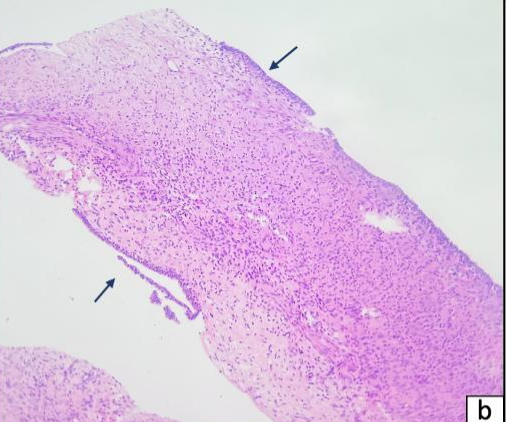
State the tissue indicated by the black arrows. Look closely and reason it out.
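Epithelial component. The arrows point to a thin layer of cells lining the edge of the tissue strip. This lining layer is only a few cells thick against a broad stroma.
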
